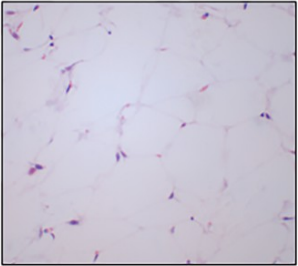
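The field is filled with large, polygonal, empty-looking cells bounded by very thin pale pink membranes. Small, flattened dark purple nuclei sit at the rims of the cells and in the junctions between them. These are the lipid-filled adipocytes of adipose tissue, with their fat dissolved away during processing.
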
